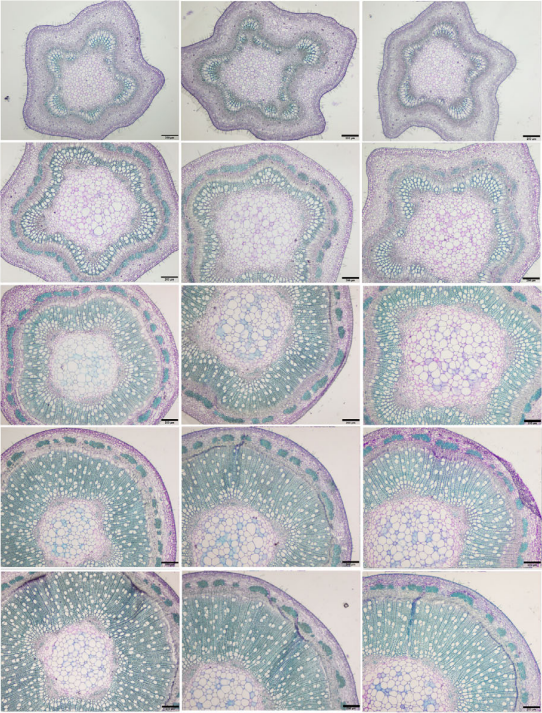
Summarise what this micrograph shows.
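These are transverse sections of young to older stem internodes, showing pith, vascular tissue with xylem, and cortex. In the youngest sections the vascular tissue forms separate bundles arranged in a lobed ring around a wide central pith of large, rounded, thin-walled parenchyma cells. Further down the series the bundles join into a continuous ring of xylem that grows wider, made of radial files of small cells with blue-green walls among which larger, open vessels are scattered. Outside the xylem lies a narrow band of thin-walled cells, then dark blue-green caps of thick-walled fibres set in a row around the circumference. The outer cortex stains purple, and the pith occupies a progressively smaller share of the section as the woody ring thickens.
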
